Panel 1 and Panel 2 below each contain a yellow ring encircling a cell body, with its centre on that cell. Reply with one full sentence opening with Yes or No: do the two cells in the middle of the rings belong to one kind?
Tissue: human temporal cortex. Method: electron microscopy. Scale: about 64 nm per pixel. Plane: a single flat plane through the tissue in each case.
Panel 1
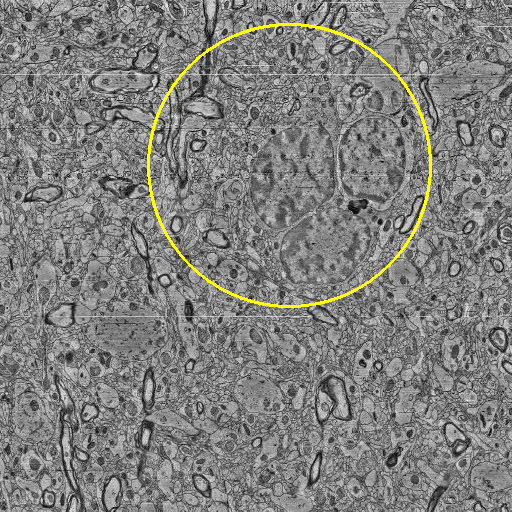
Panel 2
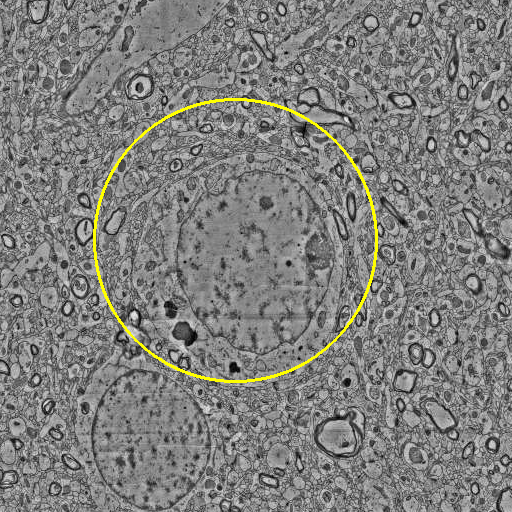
No, the cells at the middle of the Panel 1 ring and the Panel 2 ring are of two kinds.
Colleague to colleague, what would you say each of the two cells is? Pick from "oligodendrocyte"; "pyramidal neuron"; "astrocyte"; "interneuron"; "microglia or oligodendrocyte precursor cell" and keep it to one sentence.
The cell in the first picture is an oligodendrocyte; the second picture's cell is a pyramidal neuron.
